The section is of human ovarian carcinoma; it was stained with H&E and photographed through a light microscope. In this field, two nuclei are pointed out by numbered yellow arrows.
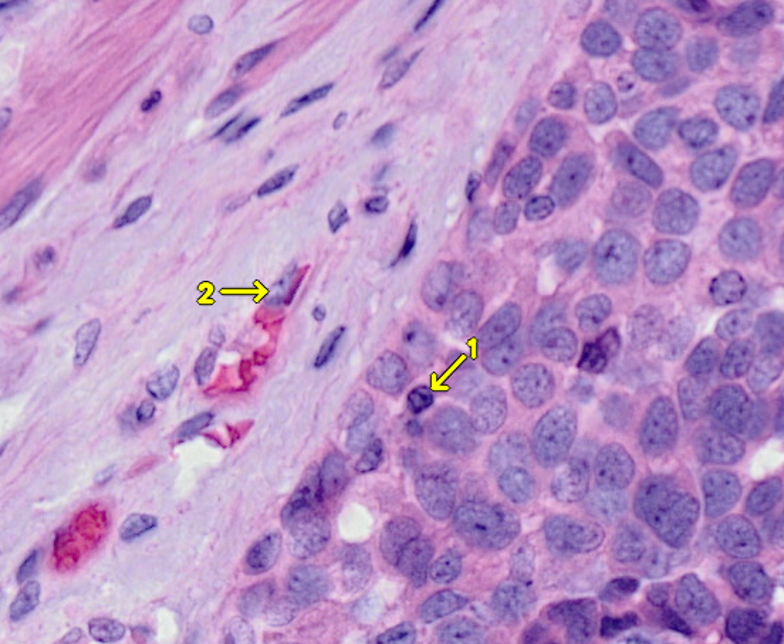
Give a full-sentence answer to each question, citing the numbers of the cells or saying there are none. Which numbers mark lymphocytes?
Cell 1 is a lymphocyte; the remaining numbered cells are not.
